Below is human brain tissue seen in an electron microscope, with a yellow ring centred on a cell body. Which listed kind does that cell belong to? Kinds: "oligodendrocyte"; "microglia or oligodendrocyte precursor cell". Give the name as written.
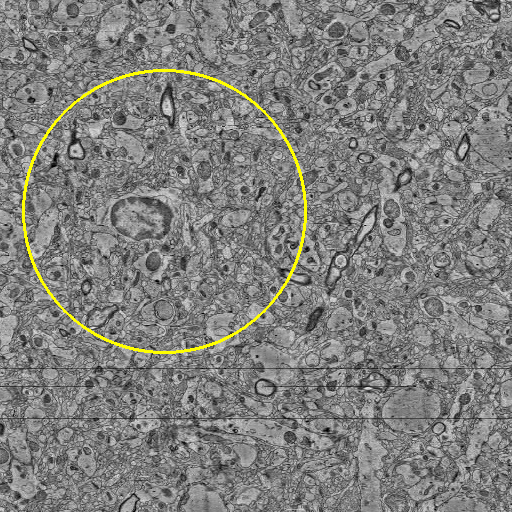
microglia or oligodendrocyte precursor cell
